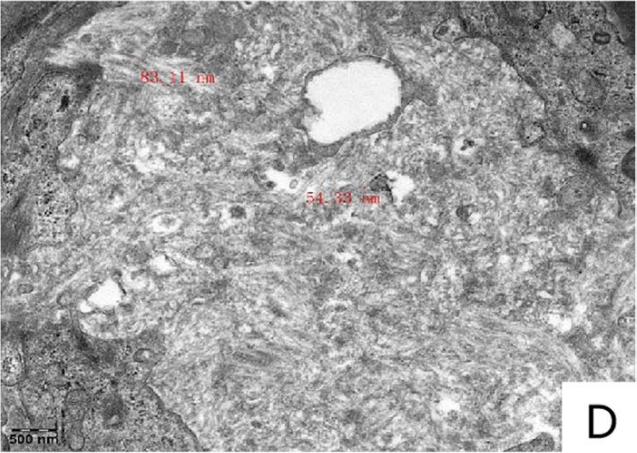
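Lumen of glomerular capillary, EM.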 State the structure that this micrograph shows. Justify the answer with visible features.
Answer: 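Twisted microtubules. The field is filled with bundles of twisted tubular fibrils. Fibrils run in varying directions through a pale cytoplasm.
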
